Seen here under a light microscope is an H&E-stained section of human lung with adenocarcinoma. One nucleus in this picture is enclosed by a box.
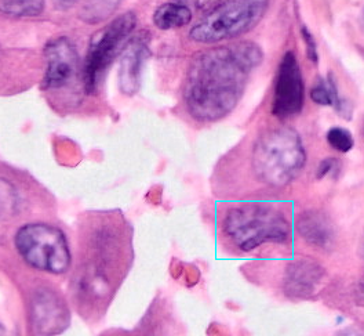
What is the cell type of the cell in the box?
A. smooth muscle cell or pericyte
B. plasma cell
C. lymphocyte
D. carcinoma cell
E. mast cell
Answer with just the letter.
D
